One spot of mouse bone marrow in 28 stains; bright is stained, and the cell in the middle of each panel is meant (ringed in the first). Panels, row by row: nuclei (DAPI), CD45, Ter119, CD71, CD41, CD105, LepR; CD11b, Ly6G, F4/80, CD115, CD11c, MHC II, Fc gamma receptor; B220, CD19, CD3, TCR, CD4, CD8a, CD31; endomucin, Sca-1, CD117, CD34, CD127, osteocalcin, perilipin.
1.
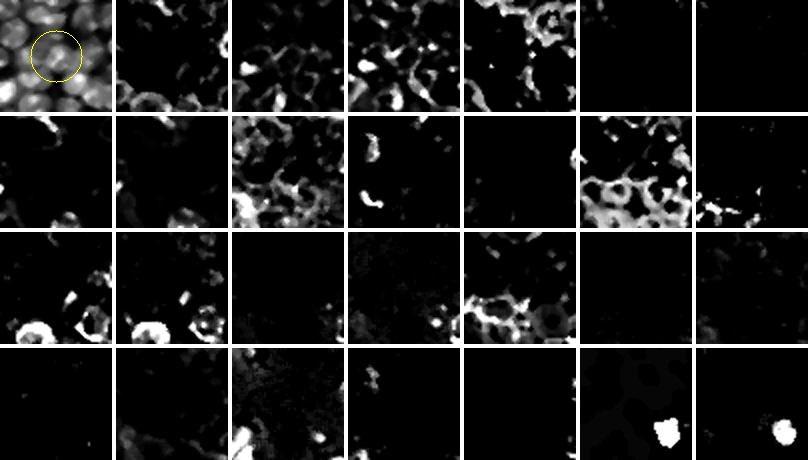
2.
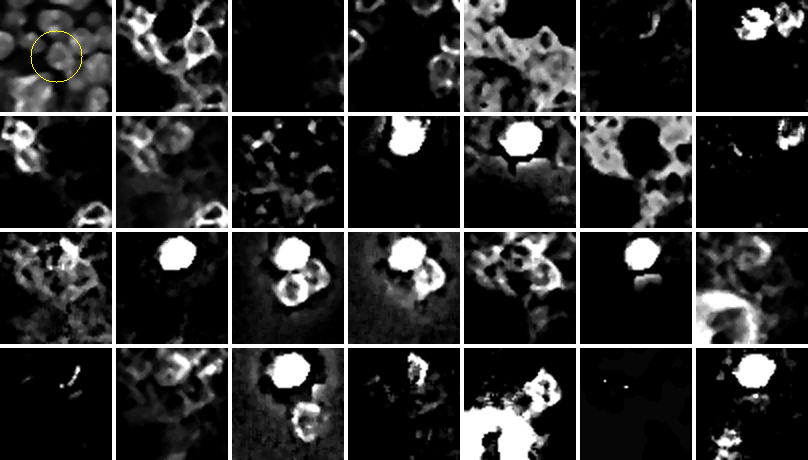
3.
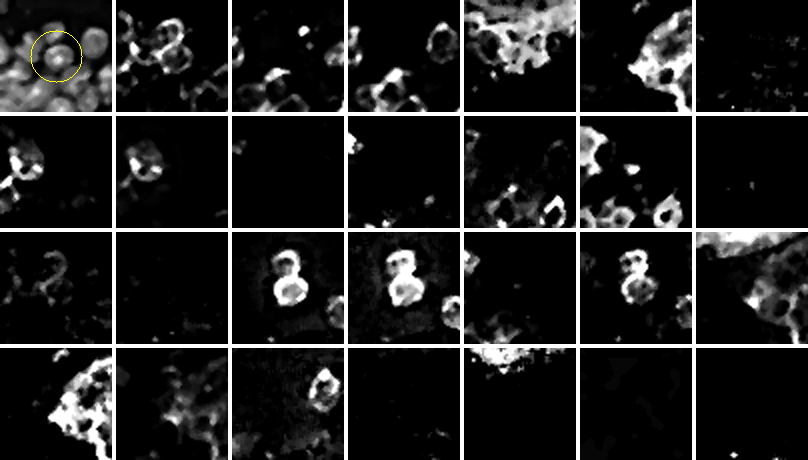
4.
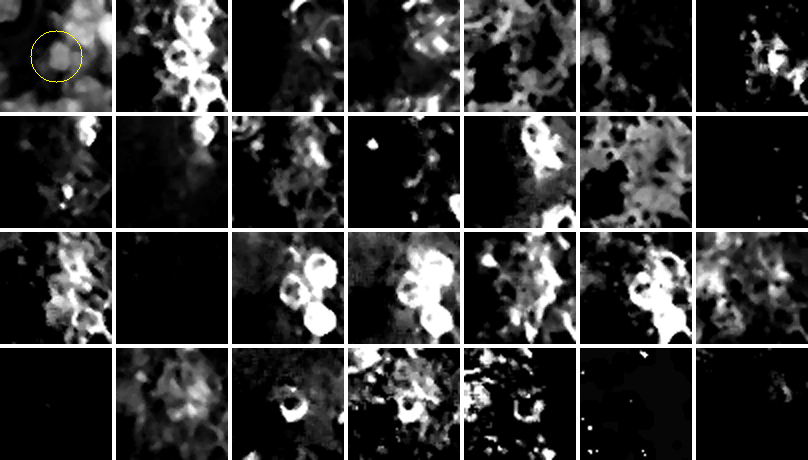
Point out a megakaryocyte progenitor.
That is picture 2.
